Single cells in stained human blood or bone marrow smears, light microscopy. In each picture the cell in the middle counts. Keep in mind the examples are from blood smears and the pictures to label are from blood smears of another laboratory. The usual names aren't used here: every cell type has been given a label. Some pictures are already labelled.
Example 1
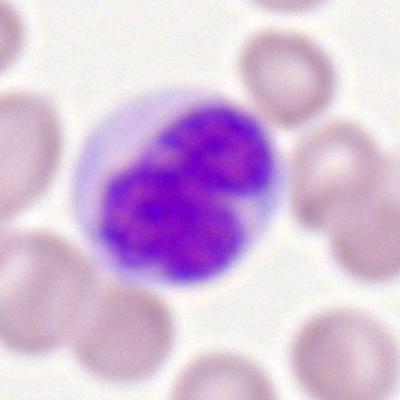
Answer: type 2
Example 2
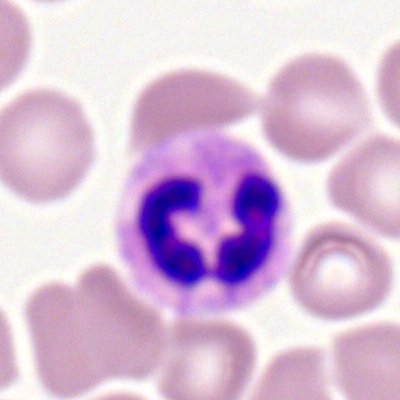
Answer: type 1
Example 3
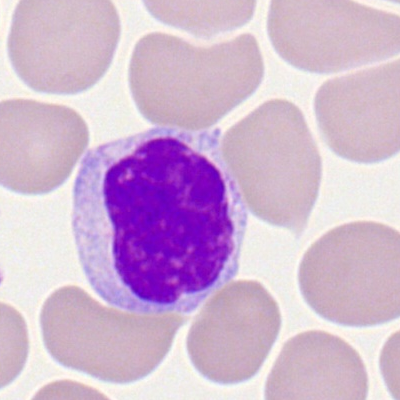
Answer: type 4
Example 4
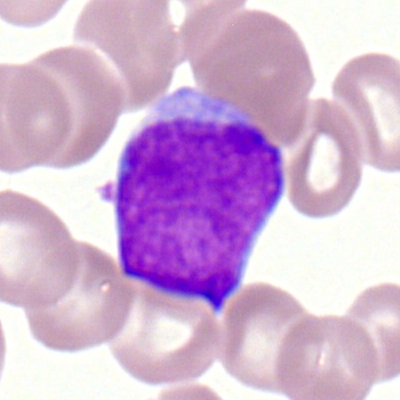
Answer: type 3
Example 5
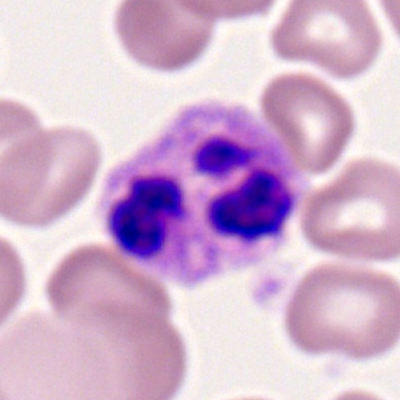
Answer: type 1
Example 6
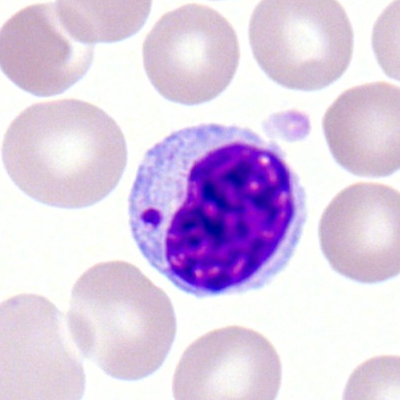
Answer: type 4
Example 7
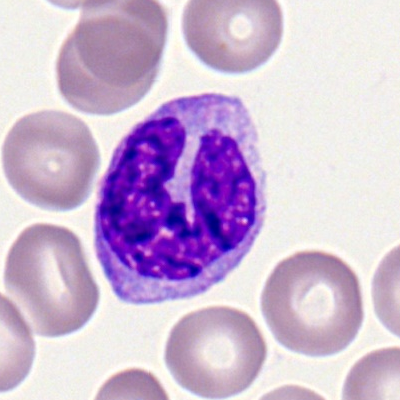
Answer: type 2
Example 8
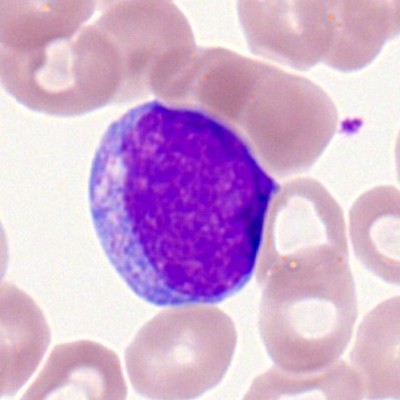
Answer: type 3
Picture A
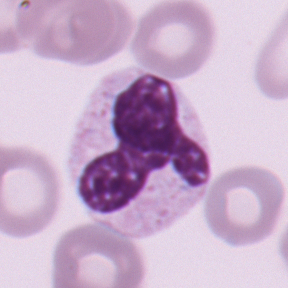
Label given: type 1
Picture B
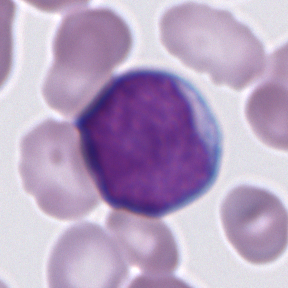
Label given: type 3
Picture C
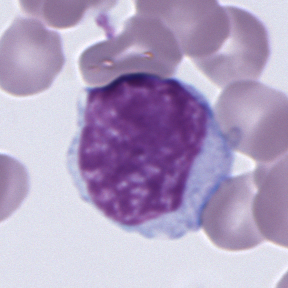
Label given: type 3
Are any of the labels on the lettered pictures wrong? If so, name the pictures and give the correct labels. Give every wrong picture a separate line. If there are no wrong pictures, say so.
All labels are correct.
